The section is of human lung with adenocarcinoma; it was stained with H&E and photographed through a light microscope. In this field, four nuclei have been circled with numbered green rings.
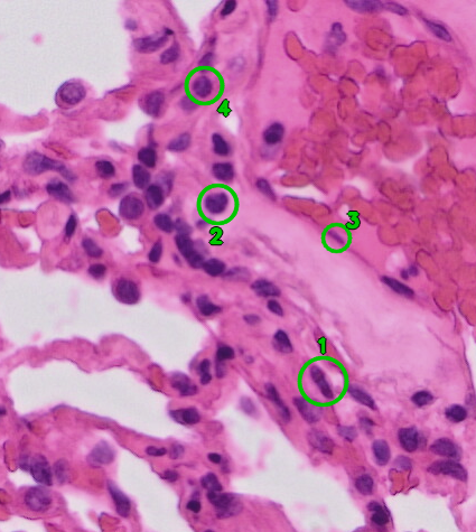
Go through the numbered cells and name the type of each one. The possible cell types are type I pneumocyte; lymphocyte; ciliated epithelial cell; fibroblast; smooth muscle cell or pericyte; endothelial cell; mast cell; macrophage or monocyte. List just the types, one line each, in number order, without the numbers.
endothelial cell
lymphocyte
endothelial cell
mast cell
